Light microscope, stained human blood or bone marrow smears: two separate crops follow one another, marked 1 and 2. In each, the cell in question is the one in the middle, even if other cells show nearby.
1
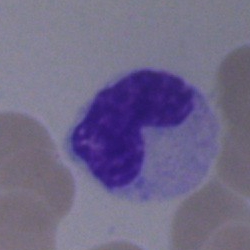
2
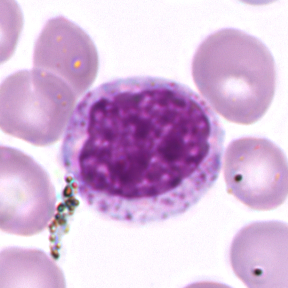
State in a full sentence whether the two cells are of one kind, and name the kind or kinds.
No, it is crop 1 that shows a metamyelocyte, and crop 2 that shows a myelocyte.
